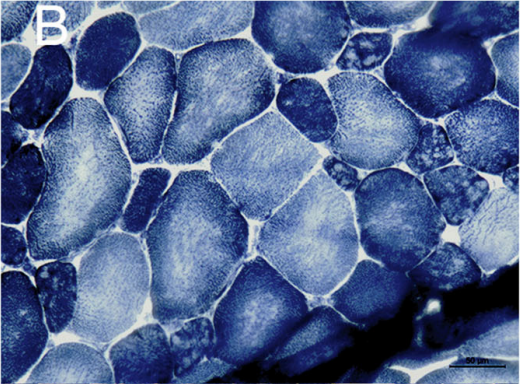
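Larger fibers show a fine granular blue texture, some with paler central regions. The fibers are closely packed with thin clear spaces between them.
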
